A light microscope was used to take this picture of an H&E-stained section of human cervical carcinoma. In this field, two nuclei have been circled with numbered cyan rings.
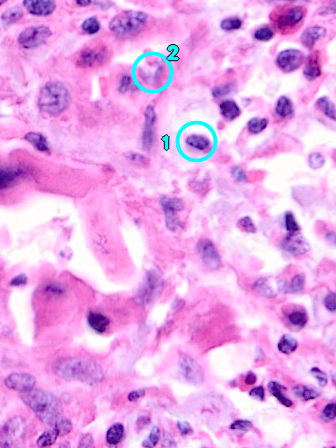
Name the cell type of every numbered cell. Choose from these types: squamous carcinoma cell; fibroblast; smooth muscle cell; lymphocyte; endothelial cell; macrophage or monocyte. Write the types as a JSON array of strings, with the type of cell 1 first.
["lymphocyte", "endothelial cell"]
